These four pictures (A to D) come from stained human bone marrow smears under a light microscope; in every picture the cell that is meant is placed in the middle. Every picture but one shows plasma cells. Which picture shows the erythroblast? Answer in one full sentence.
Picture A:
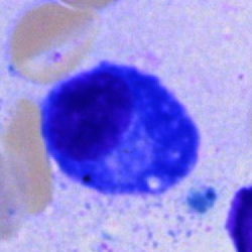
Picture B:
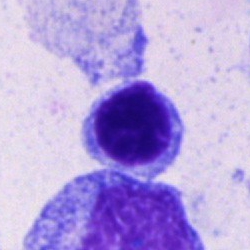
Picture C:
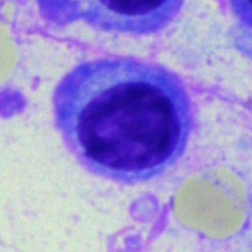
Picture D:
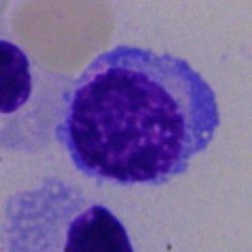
Picture B is the one that shows the erythroblast.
